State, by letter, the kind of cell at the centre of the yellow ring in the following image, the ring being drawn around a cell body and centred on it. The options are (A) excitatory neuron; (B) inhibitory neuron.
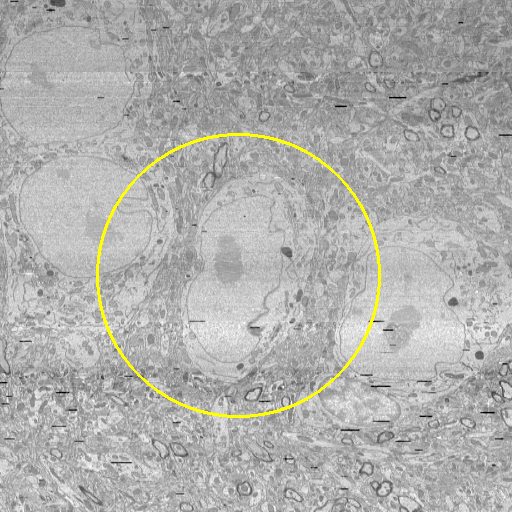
A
